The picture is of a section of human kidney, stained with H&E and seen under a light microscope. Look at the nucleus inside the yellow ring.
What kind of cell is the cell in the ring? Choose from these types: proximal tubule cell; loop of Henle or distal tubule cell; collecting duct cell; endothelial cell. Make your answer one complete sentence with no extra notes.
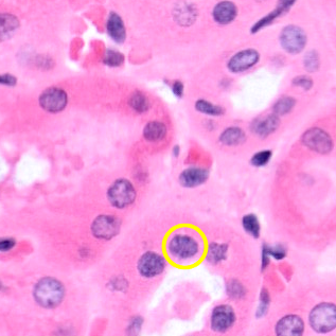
By cell type, the cell in the ring is a loop of Henle or distal tubule cell.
